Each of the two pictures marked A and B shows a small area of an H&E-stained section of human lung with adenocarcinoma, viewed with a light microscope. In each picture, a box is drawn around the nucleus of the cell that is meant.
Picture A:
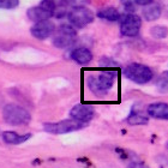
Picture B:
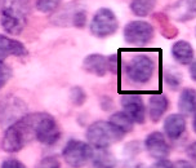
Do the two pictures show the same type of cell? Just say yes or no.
yes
